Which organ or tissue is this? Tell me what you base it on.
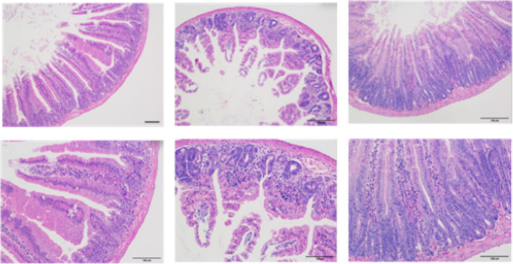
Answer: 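Finger-like projections line the inner surface of a round tubular wall. A thin pink muscular layer forms the outer rim. Glandular pits lie at the base of the projections.
Hence: intestine.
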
